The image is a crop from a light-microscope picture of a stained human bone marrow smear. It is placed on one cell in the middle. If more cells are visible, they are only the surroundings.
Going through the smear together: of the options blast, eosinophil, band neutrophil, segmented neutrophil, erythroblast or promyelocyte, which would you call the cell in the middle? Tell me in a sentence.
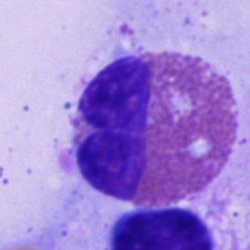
In this crop, the cell at the very middle is an eosinophil.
